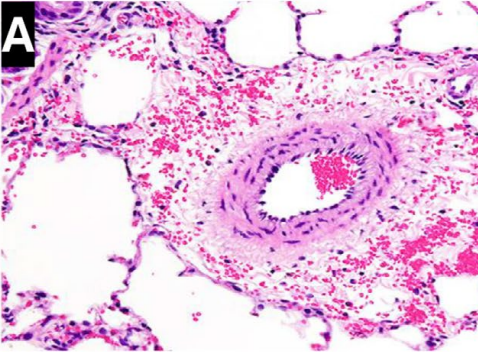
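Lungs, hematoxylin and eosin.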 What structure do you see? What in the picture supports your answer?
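A round vessel with a thick wall of concentrically arranged smooth muscle cells and an open lumen. The vessel lies in loose connective tissue surrounded by thin-walled alveolar spaces.
Pulmonary arteries.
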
